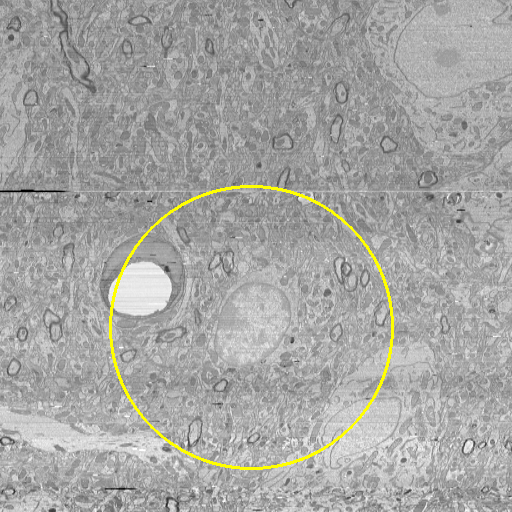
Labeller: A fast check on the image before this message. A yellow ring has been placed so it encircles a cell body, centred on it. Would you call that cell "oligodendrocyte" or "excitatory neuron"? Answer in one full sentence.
In this image, an oligodendrocyte is the cell on which the yellow ring is centred.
